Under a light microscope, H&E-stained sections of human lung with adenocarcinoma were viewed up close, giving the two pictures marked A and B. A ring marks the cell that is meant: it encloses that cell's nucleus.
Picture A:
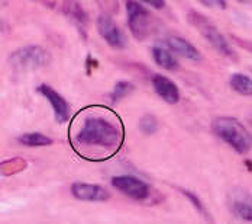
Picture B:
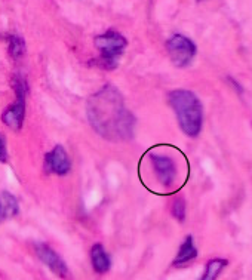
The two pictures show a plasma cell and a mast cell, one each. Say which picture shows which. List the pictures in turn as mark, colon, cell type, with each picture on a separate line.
A: plasma cell
B: mast cell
